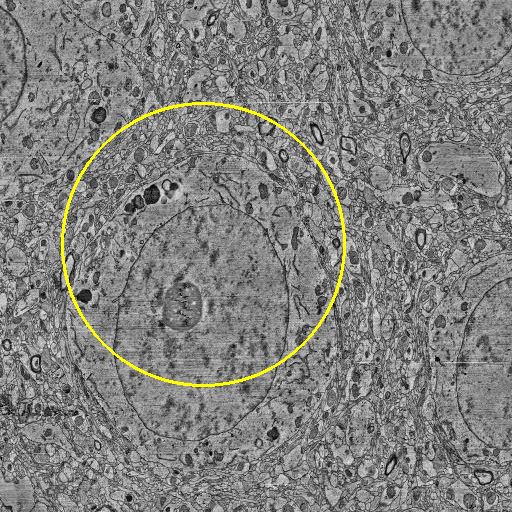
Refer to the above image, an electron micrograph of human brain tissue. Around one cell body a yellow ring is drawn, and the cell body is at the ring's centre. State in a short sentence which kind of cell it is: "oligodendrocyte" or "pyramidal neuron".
The centre of the ring falls on a pyramidal neuron.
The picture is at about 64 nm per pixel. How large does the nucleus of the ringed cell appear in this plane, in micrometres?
In this plane the nucleus measures roughly 16 by 11 micrometers.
